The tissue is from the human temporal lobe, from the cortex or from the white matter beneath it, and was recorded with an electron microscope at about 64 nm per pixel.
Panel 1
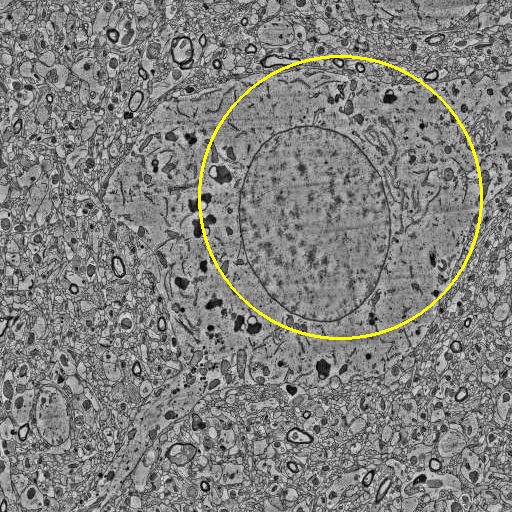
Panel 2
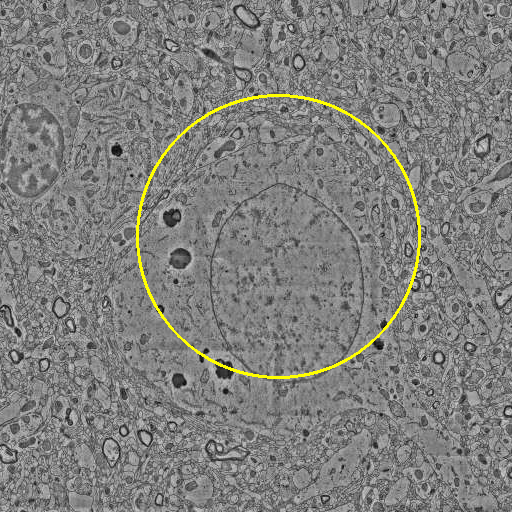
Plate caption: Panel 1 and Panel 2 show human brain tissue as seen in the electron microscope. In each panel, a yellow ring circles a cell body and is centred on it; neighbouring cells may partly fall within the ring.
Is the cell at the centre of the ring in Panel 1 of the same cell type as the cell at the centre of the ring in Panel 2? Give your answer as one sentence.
Yes, the two cells are of the same type.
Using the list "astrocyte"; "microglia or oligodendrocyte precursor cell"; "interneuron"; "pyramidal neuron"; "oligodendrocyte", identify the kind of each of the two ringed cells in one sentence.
Both rings mark a pyramidal neuron, one in each picture.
